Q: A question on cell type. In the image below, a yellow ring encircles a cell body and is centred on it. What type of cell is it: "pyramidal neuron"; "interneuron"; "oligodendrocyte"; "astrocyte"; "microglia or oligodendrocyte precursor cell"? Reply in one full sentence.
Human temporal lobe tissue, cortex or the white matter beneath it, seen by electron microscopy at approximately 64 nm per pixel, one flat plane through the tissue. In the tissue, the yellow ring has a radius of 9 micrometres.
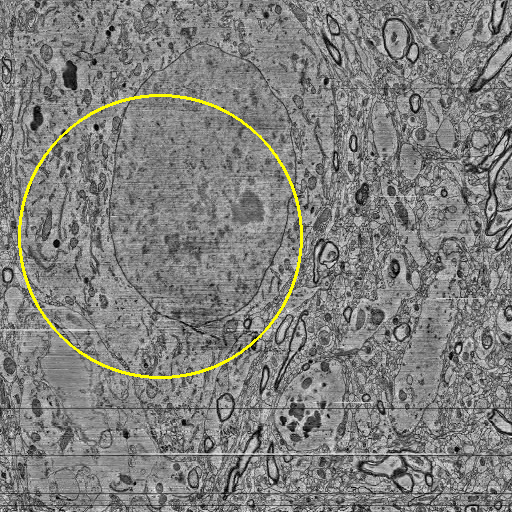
It is a pyramidal neuron whose cell body sits at the centre of the yellow ring in the image.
